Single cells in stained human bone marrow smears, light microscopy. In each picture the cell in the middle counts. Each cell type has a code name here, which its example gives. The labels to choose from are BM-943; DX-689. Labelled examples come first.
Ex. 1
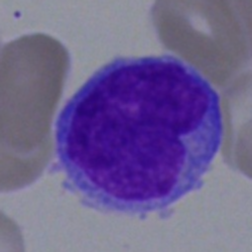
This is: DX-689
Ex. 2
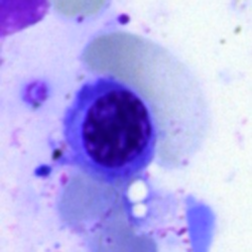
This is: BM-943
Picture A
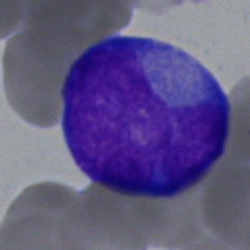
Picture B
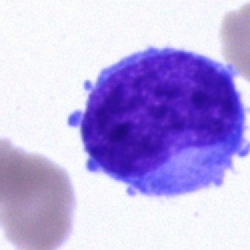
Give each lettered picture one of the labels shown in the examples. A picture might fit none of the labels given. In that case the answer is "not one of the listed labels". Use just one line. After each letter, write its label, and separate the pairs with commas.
A DX-689, B DX-689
